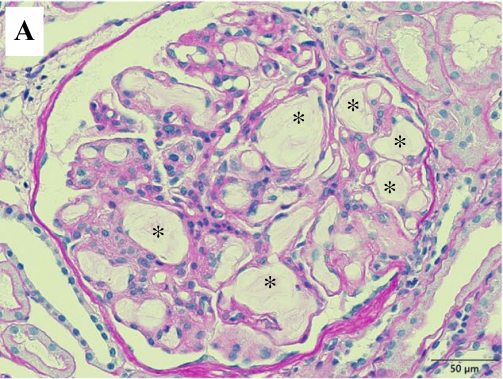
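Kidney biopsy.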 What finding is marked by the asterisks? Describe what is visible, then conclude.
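Pale-stained thrombi. Round spaces within the glomerular tuft are widely distended. They are filled with pale, faintly streaked material instead of red cells.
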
